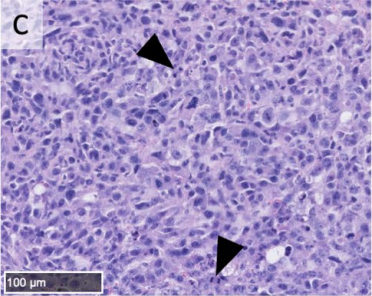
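Sheets of pleomorphic tumor cells fill the field with no glandular arrangement. Nuclei are purple and vary markedly in size and shape, from oval to irregular and elongated, with coarse, uneven chromatin; some are vesicular with visible nucleoli, others dark. Cytoplasm is pale pink and moderate in amount, cell borders indistinct. Scattered cells show dark, condensed, irregular chromatin without a nuclear membrane, consistent with mitotic figures. A few small clear spaces are present between the cells, and there is little intervening stroma.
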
